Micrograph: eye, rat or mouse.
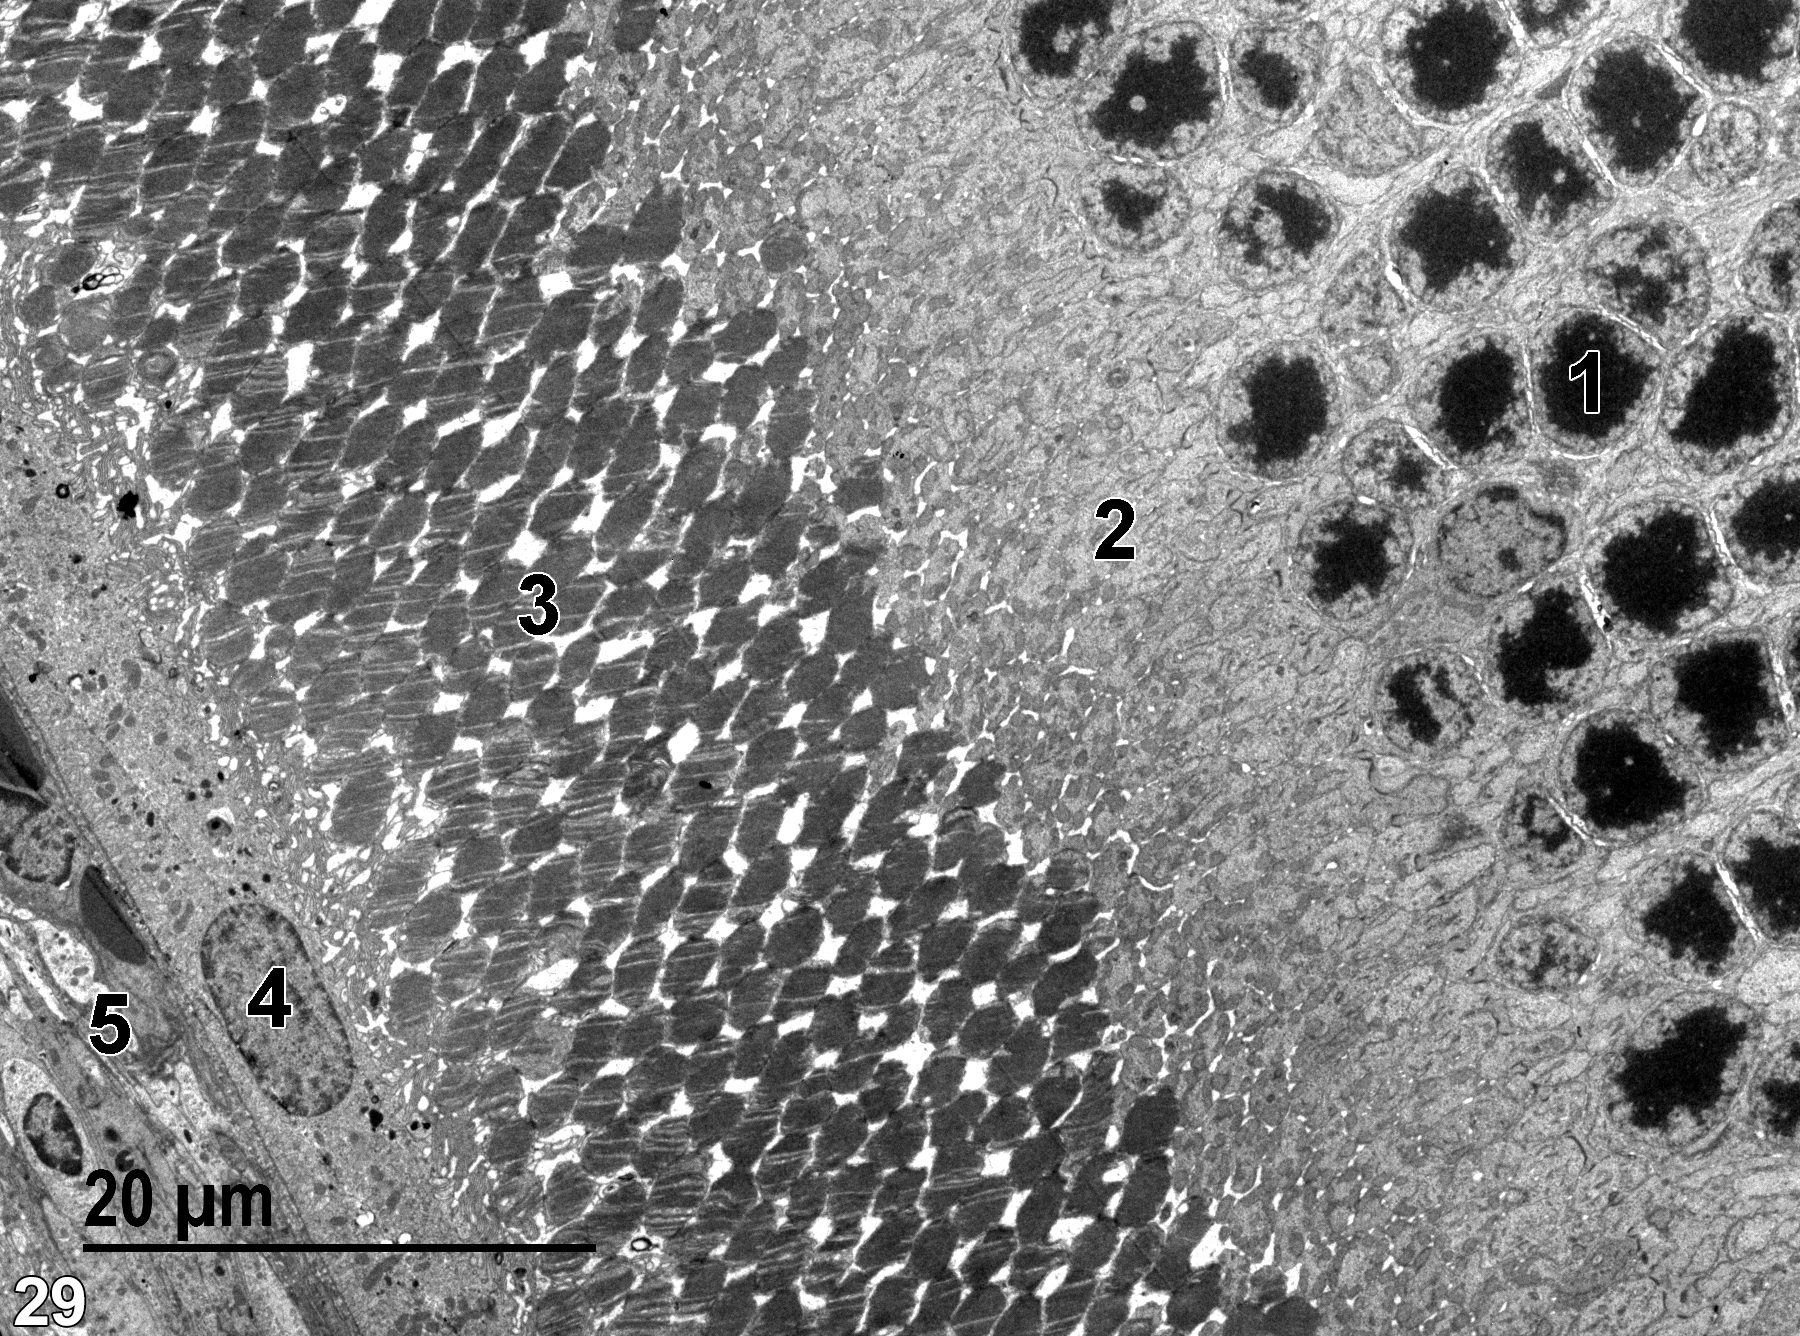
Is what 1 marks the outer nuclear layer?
Yes.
